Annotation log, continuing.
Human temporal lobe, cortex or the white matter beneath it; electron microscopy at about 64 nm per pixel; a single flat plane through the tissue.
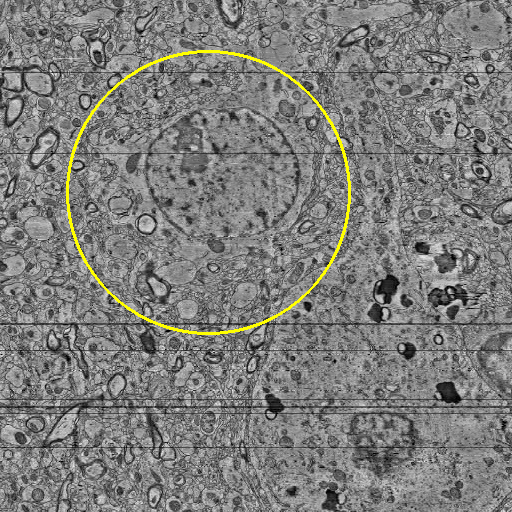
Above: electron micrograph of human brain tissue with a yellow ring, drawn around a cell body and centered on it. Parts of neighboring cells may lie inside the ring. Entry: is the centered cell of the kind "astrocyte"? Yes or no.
Yes, the centered cell is of that kind.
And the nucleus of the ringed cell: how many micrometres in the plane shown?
In this plane, roughly 10 micrometres across.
